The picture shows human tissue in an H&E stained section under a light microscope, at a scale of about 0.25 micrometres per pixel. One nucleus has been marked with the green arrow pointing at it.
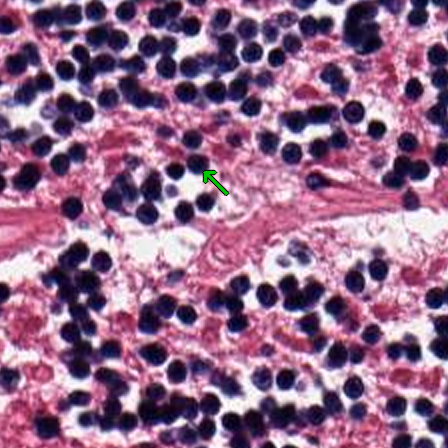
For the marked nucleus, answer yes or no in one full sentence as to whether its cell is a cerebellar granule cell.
Yes, the marked nucleus is located in a cerebellar granule cell.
